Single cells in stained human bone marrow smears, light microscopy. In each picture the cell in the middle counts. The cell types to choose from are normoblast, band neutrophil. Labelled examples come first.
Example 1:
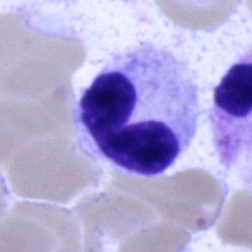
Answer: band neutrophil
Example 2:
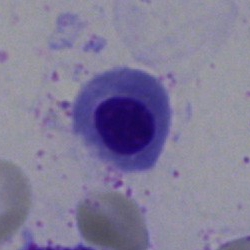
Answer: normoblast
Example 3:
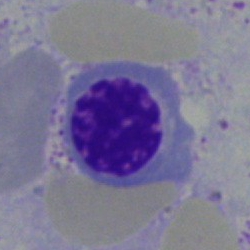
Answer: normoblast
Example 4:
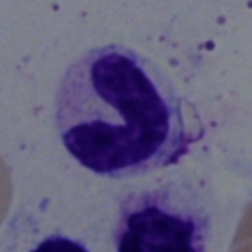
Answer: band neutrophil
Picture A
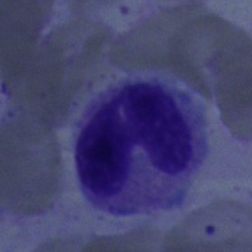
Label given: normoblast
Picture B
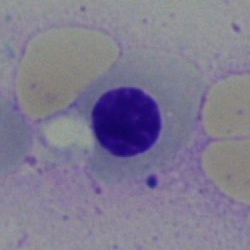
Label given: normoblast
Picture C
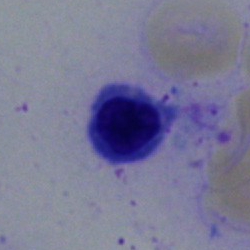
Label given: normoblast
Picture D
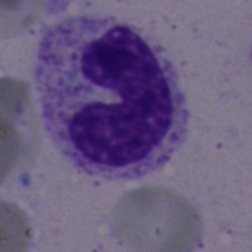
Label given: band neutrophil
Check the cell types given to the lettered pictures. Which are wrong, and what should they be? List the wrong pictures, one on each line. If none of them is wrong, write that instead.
Wrong: A (normoblast); correct: band neutrophil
